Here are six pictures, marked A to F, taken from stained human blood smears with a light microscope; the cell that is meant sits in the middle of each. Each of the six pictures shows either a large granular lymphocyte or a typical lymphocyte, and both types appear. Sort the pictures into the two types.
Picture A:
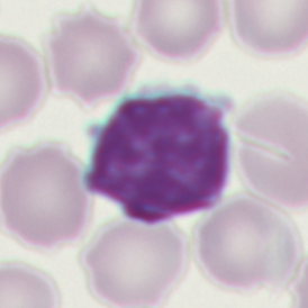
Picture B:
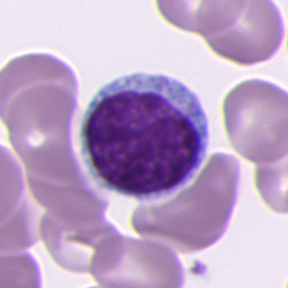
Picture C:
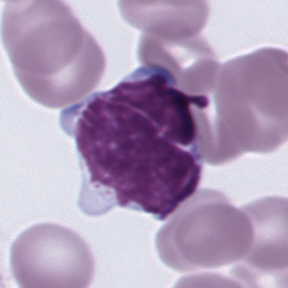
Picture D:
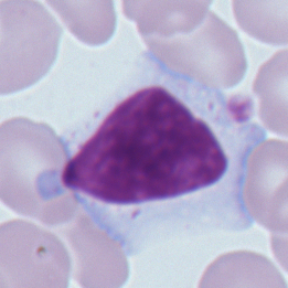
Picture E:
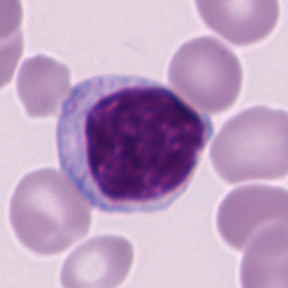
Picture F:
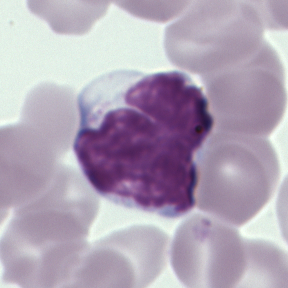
A: typical lymphocyte
B: typical lymphocyte
C: large granular lymphocyte
D: large granular lymphocyte
E: large granular lymphocyte
F: large granular lymphocyte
